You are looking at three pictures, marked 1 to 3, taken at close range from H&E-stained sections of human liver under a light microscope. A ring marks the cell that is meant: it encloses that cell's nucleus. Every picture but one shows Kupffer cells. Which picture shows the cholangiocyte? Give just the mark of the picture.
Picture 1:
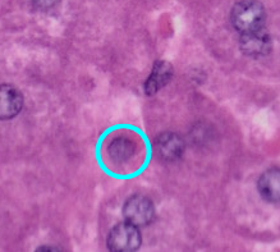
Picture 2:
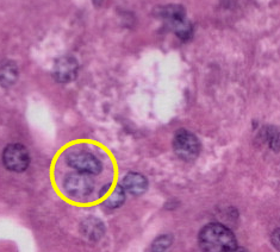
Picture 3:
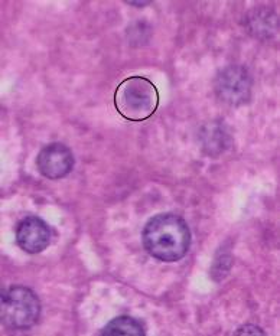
2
